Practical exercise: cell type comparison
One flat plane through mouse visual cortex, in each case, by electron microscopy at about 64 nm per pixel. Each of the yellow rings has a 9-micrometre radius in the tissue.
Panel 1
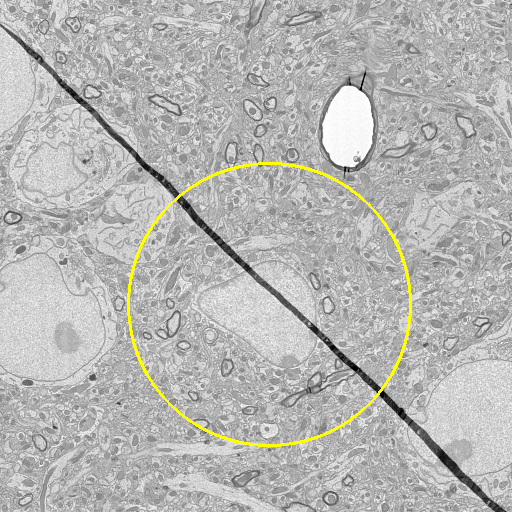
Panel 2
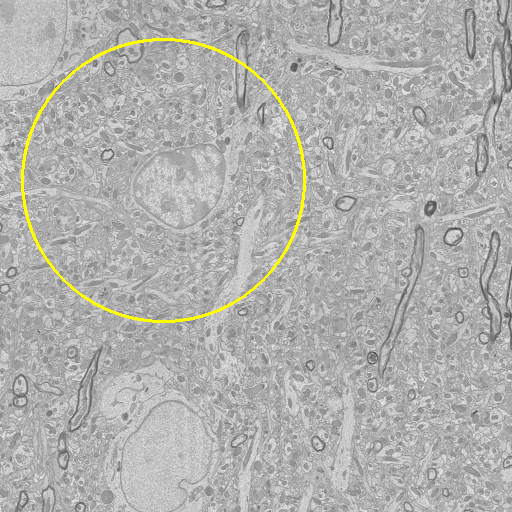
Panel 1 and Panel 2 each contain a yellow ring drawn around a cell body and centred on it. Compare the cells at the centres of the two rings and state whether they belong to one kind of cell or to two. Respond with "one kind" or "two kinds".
two kinds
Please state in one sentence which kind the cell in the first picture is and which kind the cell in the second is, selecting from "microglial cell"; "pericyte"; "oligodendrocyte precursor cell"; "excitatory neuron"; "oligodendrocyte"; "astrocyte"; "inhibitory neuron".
The first ringed cell is an astrocyte, the second ringed cell an oligodendrocyte.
